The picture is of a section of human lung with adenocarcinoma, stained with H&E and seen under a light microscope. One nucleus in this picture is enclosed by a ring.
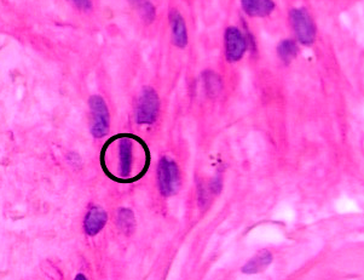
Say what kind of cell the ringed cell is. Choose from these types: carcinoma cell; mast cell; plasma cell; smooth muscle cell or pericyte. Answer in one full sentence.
The cell type represented by the ringed cell is that of a smooth muscle cell or pericyte.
